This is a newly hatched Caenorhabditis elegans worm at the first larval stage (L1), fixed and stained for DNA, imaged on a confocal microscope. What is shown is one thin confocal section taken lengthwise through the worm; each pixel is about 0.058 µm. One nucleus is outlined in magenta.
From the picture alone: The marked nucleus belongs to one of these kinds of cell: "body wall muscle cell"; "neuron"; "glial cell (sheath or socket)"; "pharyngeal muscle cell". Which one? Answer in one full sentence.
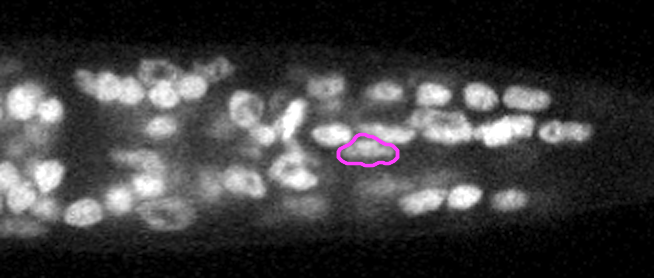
The marked nucleus belongs to a pharyngeal muscle cell.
